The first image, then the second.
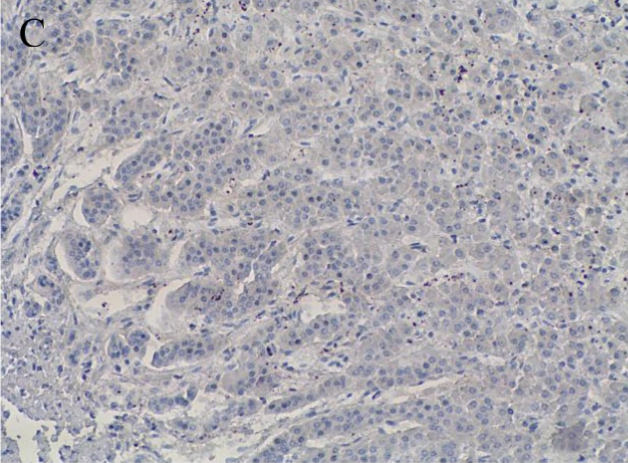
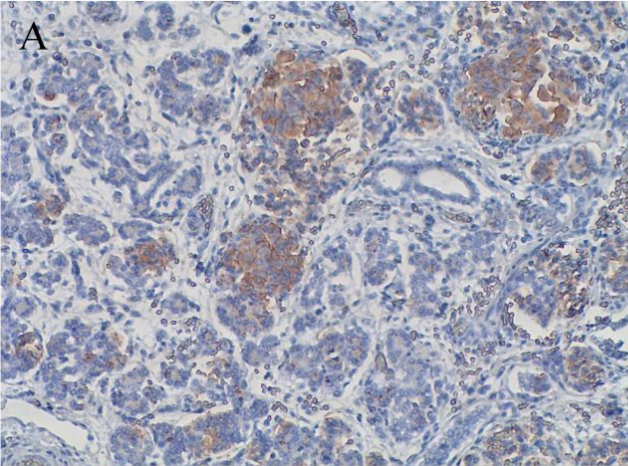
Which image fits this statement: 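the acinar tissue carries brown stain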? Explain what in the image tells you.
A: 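First image: the epithelial cell sheets are blue-grey with no brown stain. Second image: several epithelial cell groups are stained brown.
Conclusion: the second image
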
